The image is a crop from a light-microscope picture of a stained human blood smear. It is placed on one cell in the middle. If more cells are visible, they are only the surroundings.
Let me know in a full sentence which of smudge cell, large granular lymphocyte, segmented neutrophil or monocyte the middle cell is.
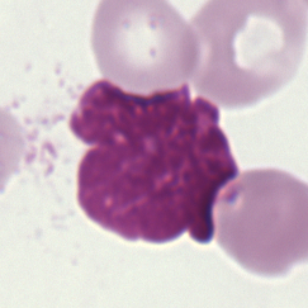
The central element of this crop is a cell, namely a smudge cell.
